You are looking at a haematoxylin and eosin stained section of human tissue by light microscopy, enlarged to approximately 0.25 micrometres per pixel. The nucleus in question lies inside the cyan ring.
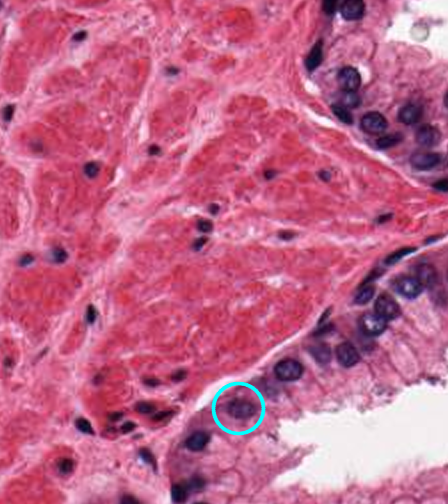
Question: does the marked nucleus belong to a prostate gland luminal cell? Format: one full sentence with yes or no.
Yes, the nucleus that is marked belongs to a prostate gland luminal cell.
